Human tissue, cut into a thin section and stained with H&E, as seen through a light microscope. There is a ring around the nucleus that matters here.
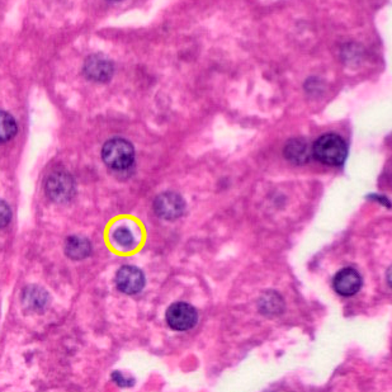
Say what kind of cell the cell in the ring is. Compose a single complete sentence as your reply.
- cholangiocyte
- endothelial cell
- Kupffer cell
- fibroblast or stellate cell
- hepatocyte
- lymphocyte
Among the cells in this section, the cell in the ring is a lymphocyte.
